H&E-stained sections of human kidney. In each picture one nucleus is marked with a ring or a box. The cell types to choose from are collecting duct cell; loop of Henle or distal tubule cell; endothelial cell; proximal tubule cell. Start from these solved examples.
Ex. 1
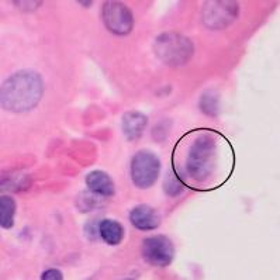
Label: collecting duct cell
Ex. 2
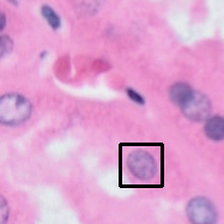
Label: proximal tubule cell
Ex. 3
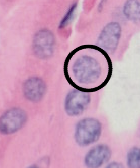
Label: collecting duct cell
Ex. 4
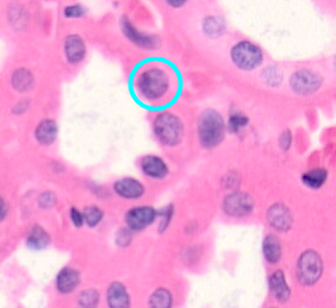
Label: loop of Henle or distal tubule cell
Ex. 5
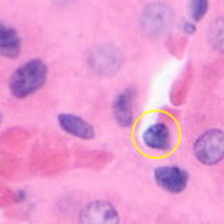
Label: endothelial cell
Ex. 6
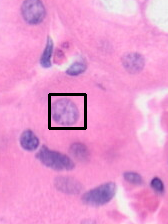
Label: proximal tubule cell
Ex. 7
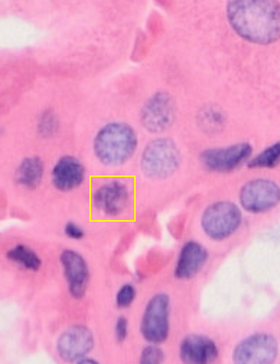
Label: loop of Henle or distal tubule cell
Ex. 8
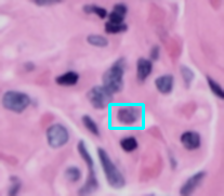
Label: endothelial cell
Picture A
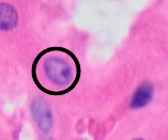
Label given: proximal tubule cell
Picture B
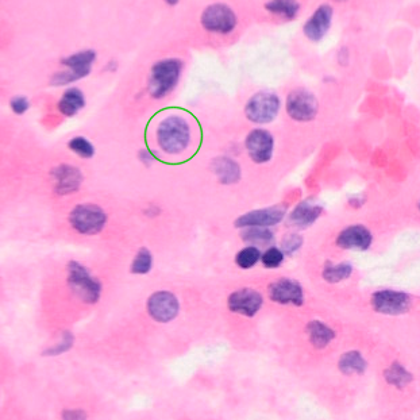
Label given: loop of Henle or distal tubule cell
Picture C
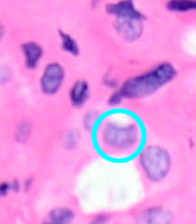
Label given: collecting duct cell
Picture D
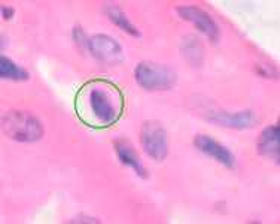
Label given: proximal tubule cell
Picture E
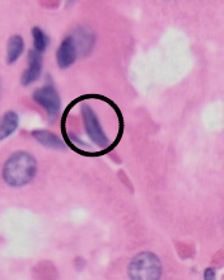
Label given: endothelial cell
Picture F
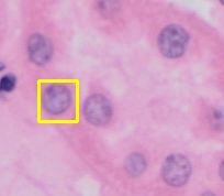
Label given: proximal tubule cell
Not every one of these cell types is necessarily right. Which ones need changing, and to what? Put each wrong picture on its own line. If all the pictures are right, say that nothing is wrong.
D should be endothelial cell, not proximal tubule cell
